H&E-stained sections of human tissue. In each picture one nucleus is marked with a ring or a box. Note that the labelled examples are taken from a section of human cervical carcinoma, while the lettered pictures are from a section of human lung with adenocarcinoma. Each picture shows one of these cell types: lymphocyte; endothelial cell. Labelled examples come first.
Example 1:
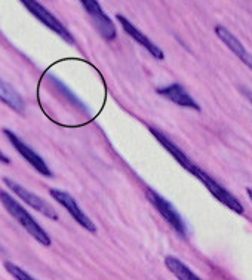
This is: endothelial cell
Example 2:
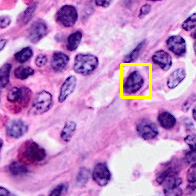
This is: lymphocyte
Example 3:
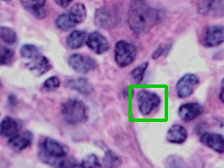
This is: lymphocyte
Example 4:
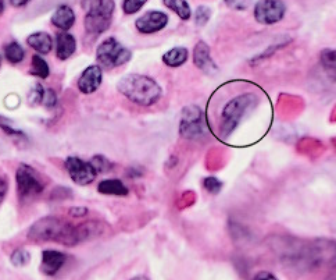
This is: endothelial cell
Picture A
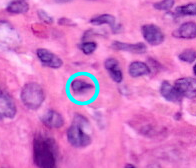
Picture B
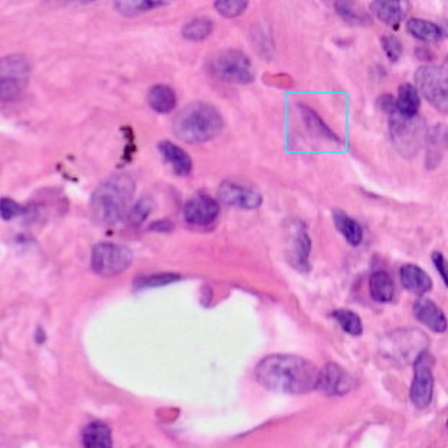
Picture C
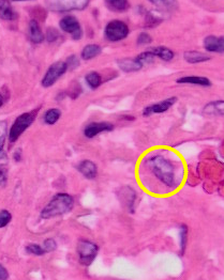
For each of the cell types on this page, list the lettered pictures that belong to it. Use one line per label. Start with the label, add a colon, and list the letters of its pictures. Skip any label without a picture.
lymphocyte: A
endothelial cell: B, C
